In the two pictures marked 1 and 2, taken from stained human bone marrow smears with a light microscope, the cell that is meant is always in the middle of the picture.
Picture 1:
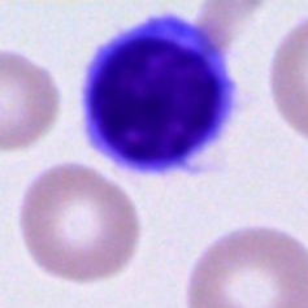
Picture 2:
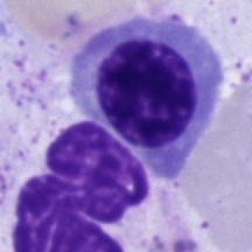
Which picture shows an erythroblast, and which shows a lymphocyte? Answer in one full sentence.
In picture 1 the cell is a lymphocyte; in picture 2, an erythroblast.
